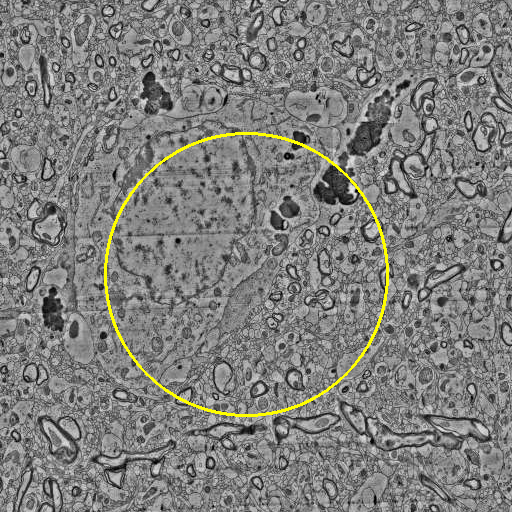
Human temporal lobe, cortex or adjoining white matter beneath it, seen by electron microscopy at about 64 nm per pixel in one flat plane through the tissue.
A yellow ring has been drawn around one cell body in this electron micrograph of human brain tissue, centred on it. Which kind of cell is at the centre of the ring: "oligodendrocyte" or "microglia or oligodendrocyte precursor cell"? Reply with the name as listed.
oligodendrocyte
